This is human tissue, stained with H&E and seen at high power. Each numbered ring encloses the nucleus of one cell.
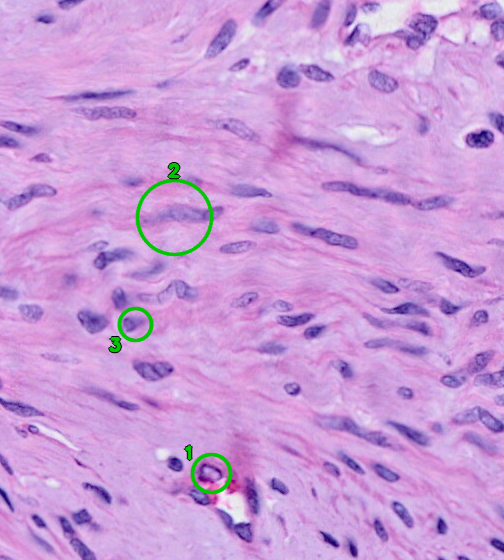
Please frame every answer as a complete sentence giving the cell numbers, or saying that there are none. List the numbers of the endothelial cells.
Of all the numbered cells, only one is an endothelial cell, and that is cell 1.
